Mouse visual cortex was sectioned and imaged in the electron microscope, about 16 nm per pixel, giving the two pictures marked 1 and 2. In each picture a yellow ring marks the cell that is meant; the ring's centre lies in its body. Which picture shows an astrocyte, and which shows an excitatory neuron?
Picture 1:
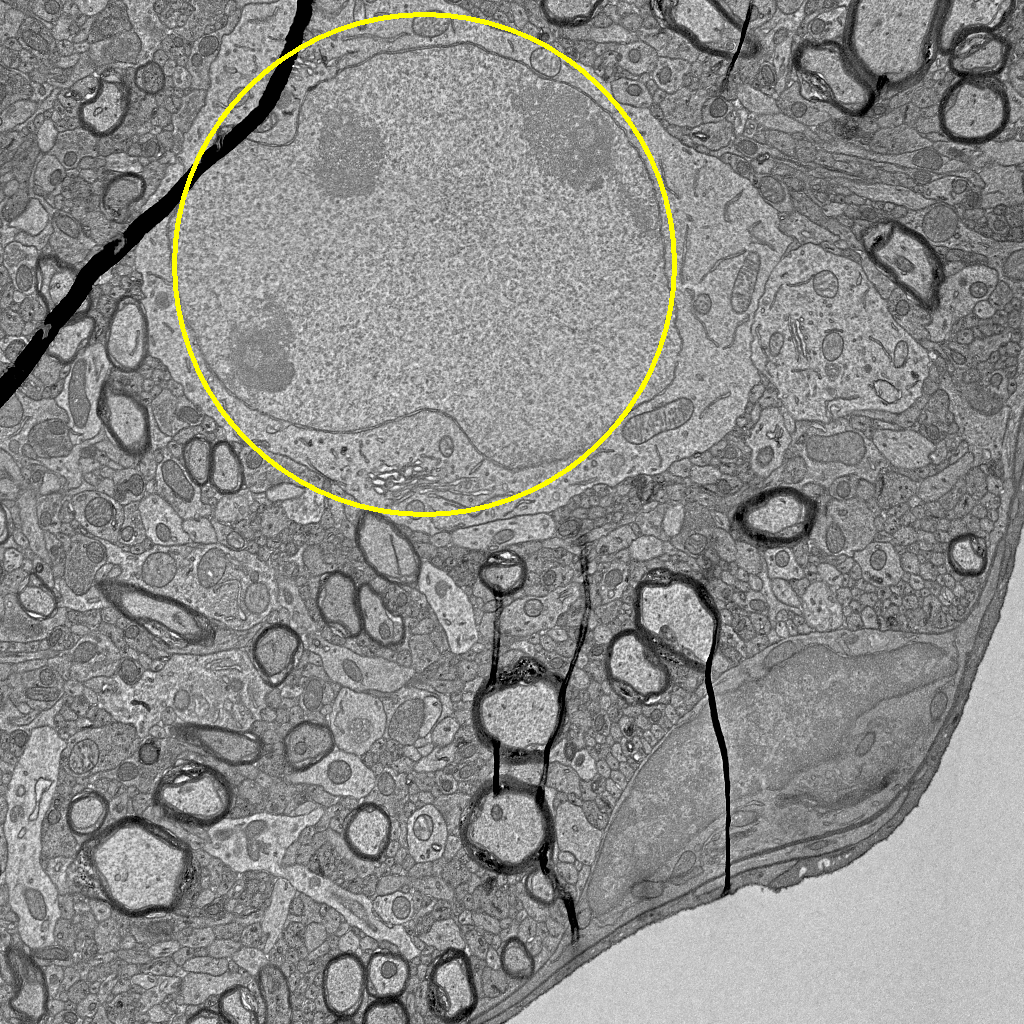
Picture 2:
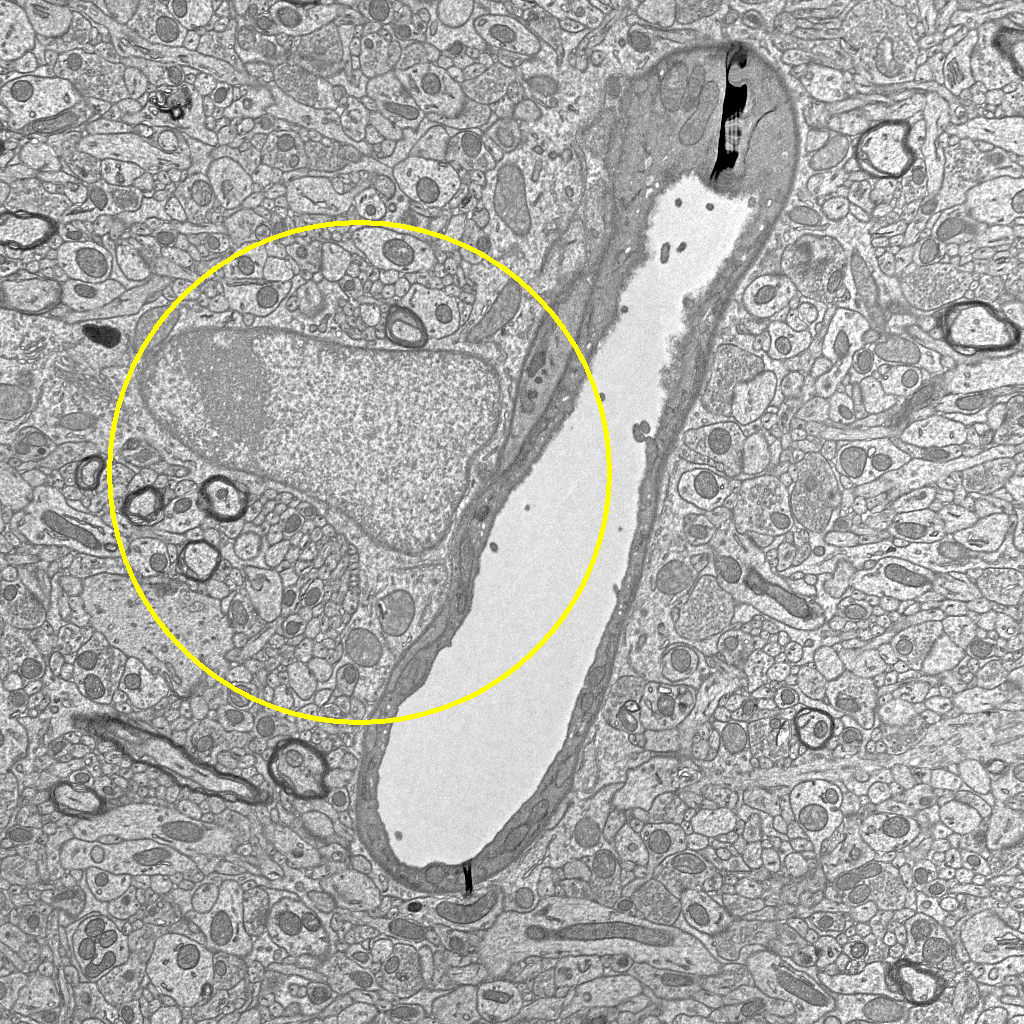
The cell in picture 1 is an excitatory neuron, and the one in picture 2 is an astrocyte.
